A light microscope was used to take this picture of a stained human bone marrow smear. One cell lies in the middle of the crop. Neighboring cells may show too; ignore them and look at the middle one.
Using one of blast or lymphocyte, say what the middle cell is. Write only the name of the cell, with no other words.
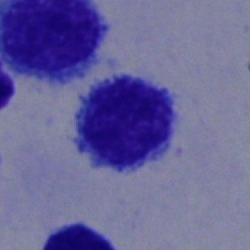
lymphocyte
